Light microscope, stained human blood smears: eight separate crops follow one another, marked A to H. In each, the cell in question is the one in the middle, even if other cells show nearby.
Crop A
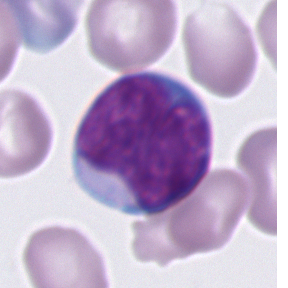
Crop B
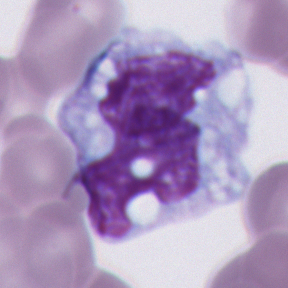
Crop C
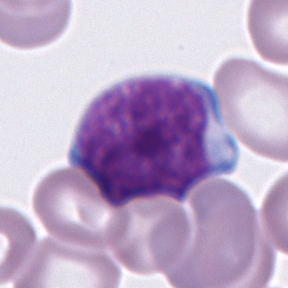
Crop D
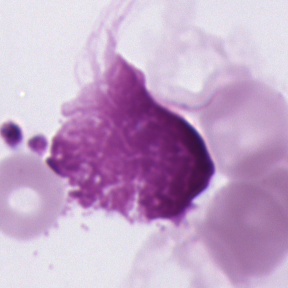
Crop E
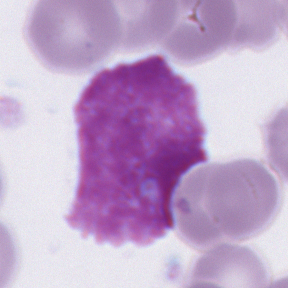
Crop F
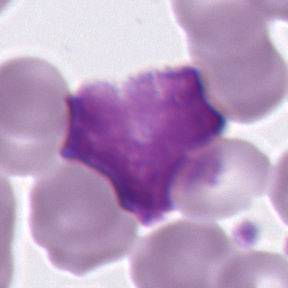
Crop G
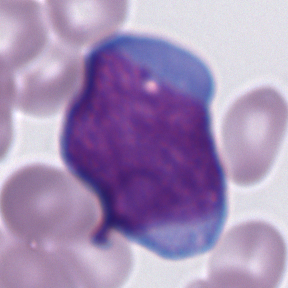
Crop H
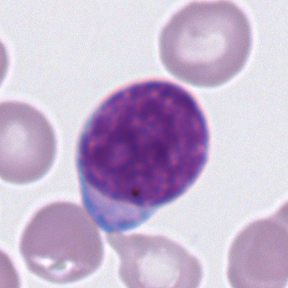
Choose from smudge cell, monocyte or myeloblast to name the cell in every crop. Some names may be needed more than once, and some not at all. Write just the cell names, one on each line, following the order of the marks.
myeloblast
monocyte
myeloblast
smudge cell
smudge cell
smudge cell
myeloblast
myeloblast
